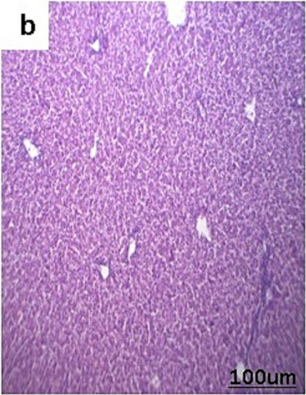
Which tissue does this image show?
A: Liver.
